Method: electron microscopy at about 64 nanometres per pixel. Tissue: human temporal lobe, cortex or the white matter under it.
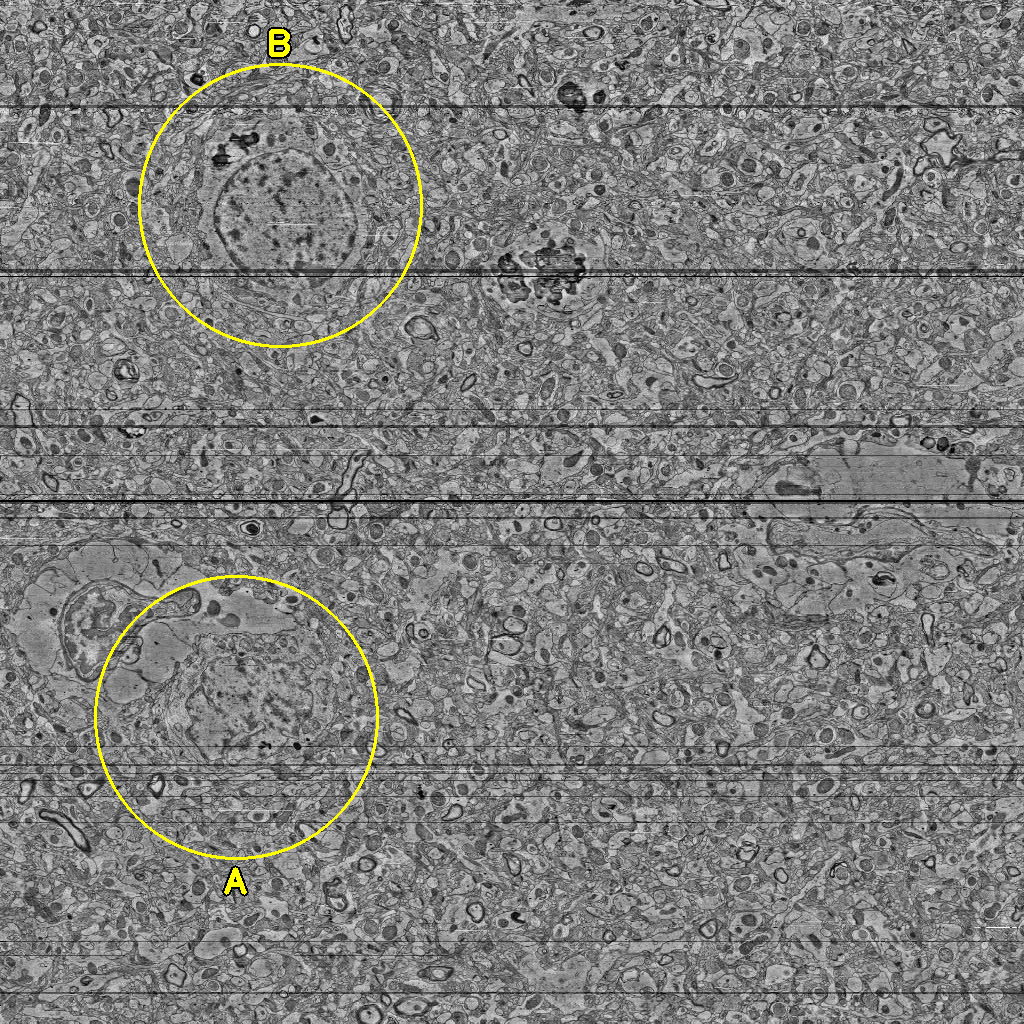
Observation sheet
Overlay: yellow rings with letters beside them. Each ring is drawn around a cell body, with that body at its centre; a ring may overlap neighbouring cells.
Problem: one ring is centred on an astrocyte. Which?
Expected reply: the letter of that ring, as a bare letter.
B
